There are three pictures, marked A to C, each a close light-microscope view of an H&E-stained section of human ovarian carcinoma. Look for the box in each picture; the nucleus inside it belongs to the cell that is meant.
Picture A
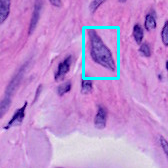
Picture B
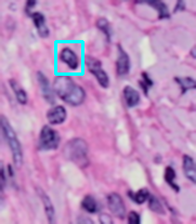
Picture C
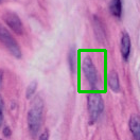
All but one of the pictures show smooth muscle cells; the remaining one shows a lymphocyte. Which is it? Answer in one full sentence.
Picture B is the one that shows the lymphocyte.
